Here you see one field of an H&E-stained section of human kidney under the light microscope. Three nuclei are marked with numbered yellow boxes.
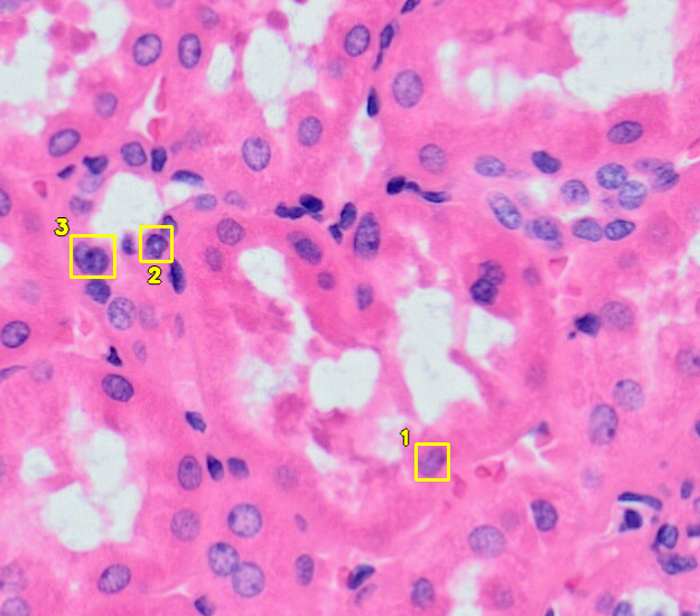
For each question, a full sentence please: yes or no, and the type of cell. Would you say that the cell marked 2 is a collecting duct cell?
Yes, number 2 corresponds to a collecting duct cell.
